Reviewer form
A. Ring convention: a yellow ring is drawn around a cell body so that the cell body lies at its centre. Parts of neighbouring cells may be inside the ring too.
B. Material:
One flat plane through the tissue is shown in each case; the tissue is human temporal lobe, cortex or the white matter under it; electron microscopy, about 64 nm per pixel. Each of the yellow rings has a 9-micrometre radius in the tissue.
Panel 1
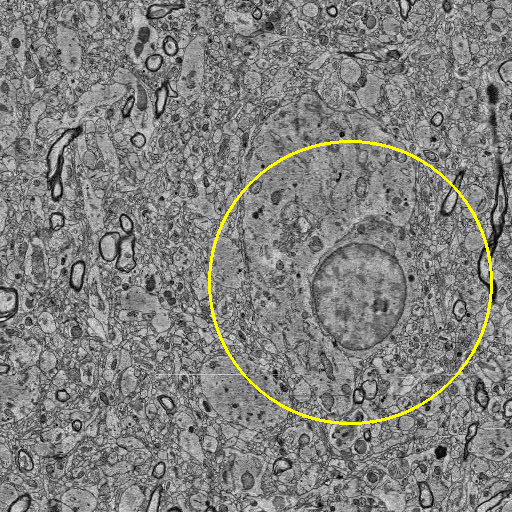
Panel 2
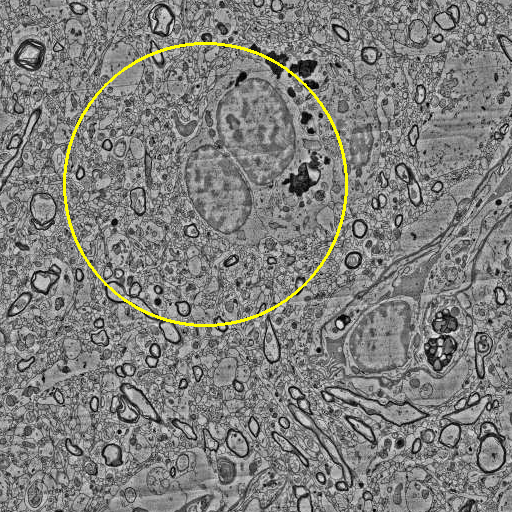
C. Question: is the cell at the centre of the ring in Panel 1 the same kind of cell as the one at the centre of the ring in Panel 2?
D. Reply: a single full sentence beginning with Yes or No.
Yes, the cells in Panel 1 and Panel 2 are the same kind of cell.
